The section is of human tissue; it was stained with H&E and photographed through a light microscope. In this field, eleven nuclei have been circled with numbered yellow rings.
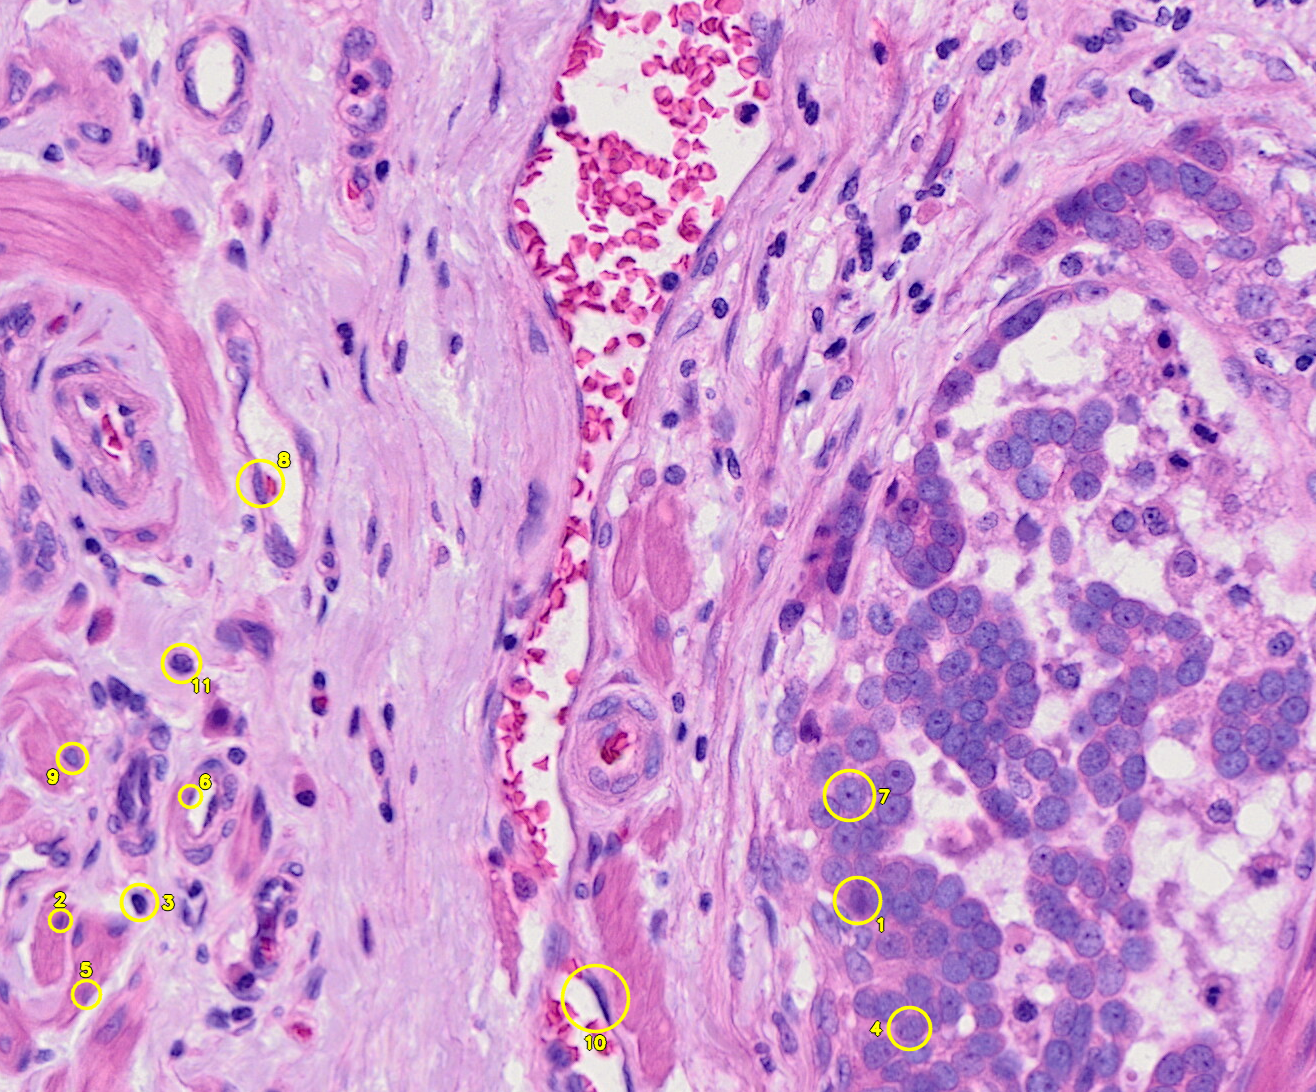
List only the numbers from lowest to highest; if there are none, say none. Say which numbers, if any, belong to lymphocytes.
3, 11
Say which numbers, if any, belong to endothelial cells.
6, 8, 10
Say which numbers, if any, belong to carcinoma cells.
1, 4, 7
